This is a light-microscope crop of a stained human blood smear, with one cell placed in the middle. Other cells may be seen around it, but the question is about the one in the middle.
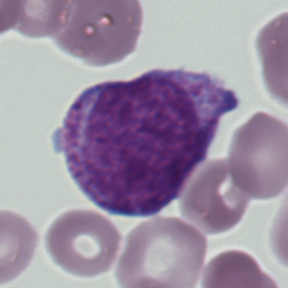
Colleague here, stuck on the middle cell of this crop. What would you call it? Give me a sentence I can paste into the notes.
The middle cell in this particular crop is an atypical promyelocyte.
